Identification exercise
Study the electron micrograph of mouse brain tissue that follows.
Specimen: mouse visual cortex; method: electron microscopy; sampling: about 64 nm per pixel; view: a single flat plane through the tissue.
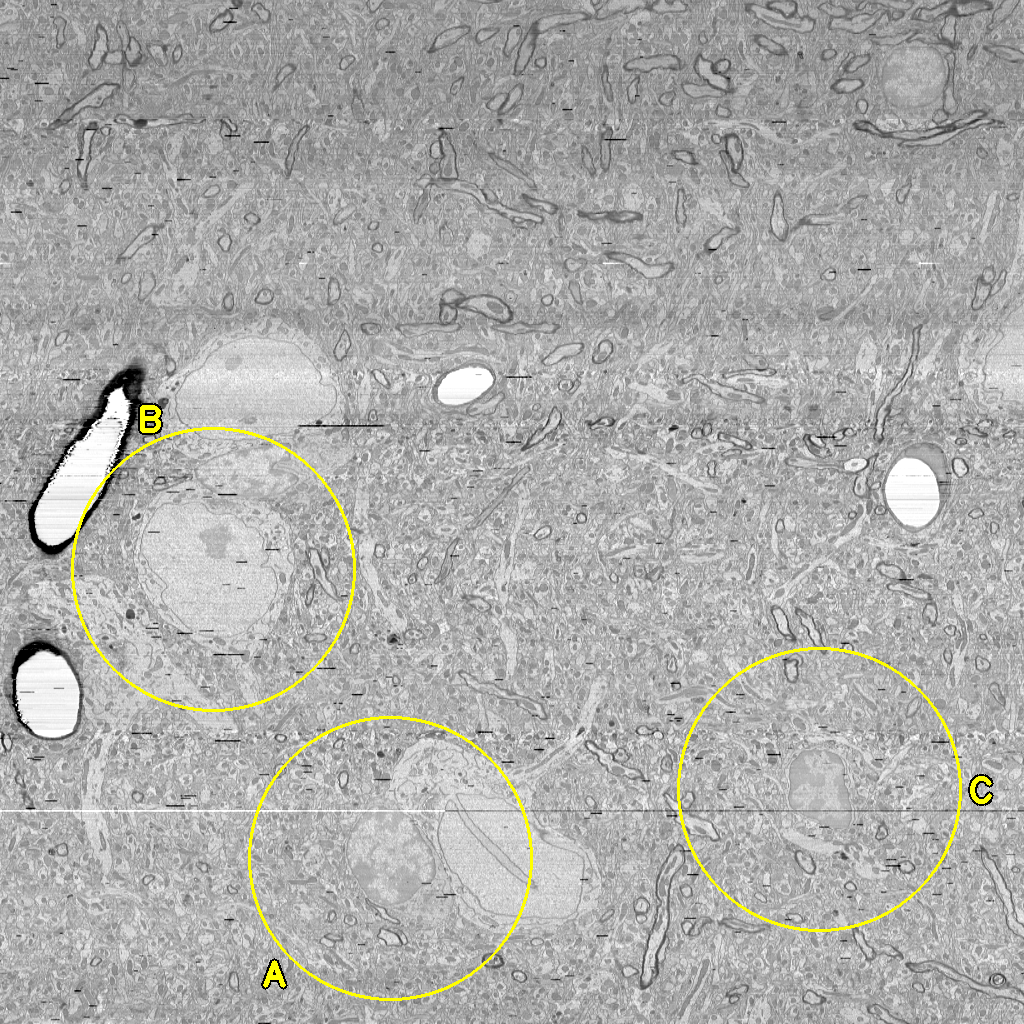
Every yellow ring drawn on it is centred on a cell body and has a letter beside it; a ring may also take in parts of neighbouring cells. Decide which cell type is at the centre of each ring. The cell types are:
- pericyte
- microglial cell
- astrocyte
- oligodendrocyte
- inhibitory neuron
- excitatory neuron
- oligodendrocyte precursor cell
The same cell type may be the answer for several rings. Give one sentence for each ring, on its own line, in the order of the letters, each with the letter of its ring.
Ring A encircles an oligodendrocyte.
Ring B encircles an excitatory neuron.
Ring C encircles a microglial cell.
